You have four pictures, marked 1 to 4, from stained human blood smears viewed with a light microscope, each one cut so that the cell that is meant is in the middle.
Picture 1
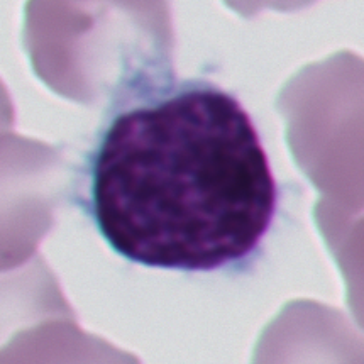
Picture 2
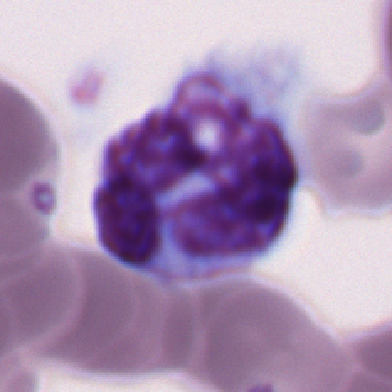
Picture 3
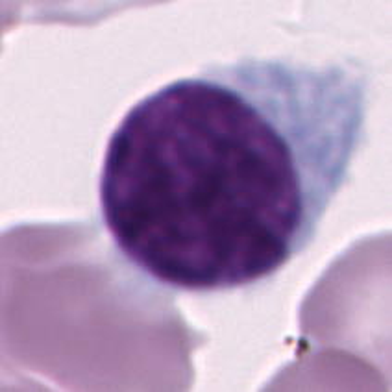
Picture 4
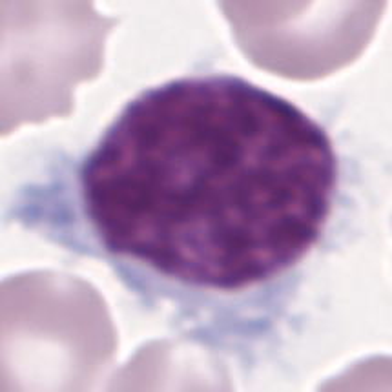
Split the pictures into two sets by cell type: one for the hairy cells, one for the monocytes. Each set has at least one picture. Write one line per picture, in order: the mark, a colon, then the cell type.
1: hairy cell
2: monocyte
3: hairy cell
4: hairy cell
